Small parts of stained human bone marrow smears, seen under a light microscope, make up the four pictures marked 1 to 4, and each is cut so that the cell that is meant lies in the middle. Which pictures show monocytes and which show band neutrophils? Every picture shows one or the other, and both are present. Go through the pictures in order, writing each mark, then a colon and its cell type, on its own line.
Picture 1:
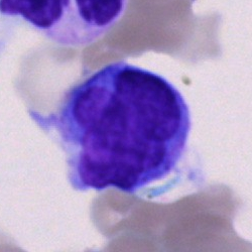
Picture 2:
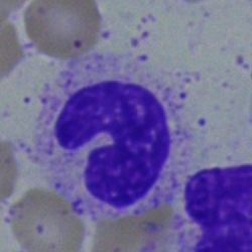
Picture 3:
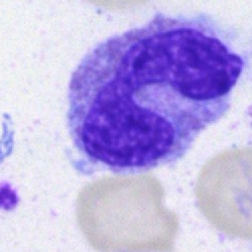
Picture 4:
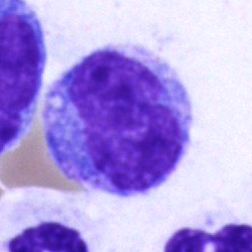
1: monocyte
2: band neutrophil
3: monocyte
4: monocyte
